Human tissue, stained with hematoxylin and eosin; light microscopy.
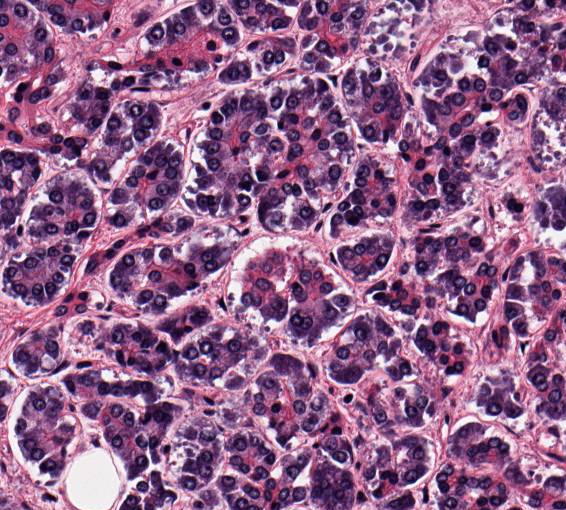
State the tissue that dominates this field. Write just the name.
exocrine pancreas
